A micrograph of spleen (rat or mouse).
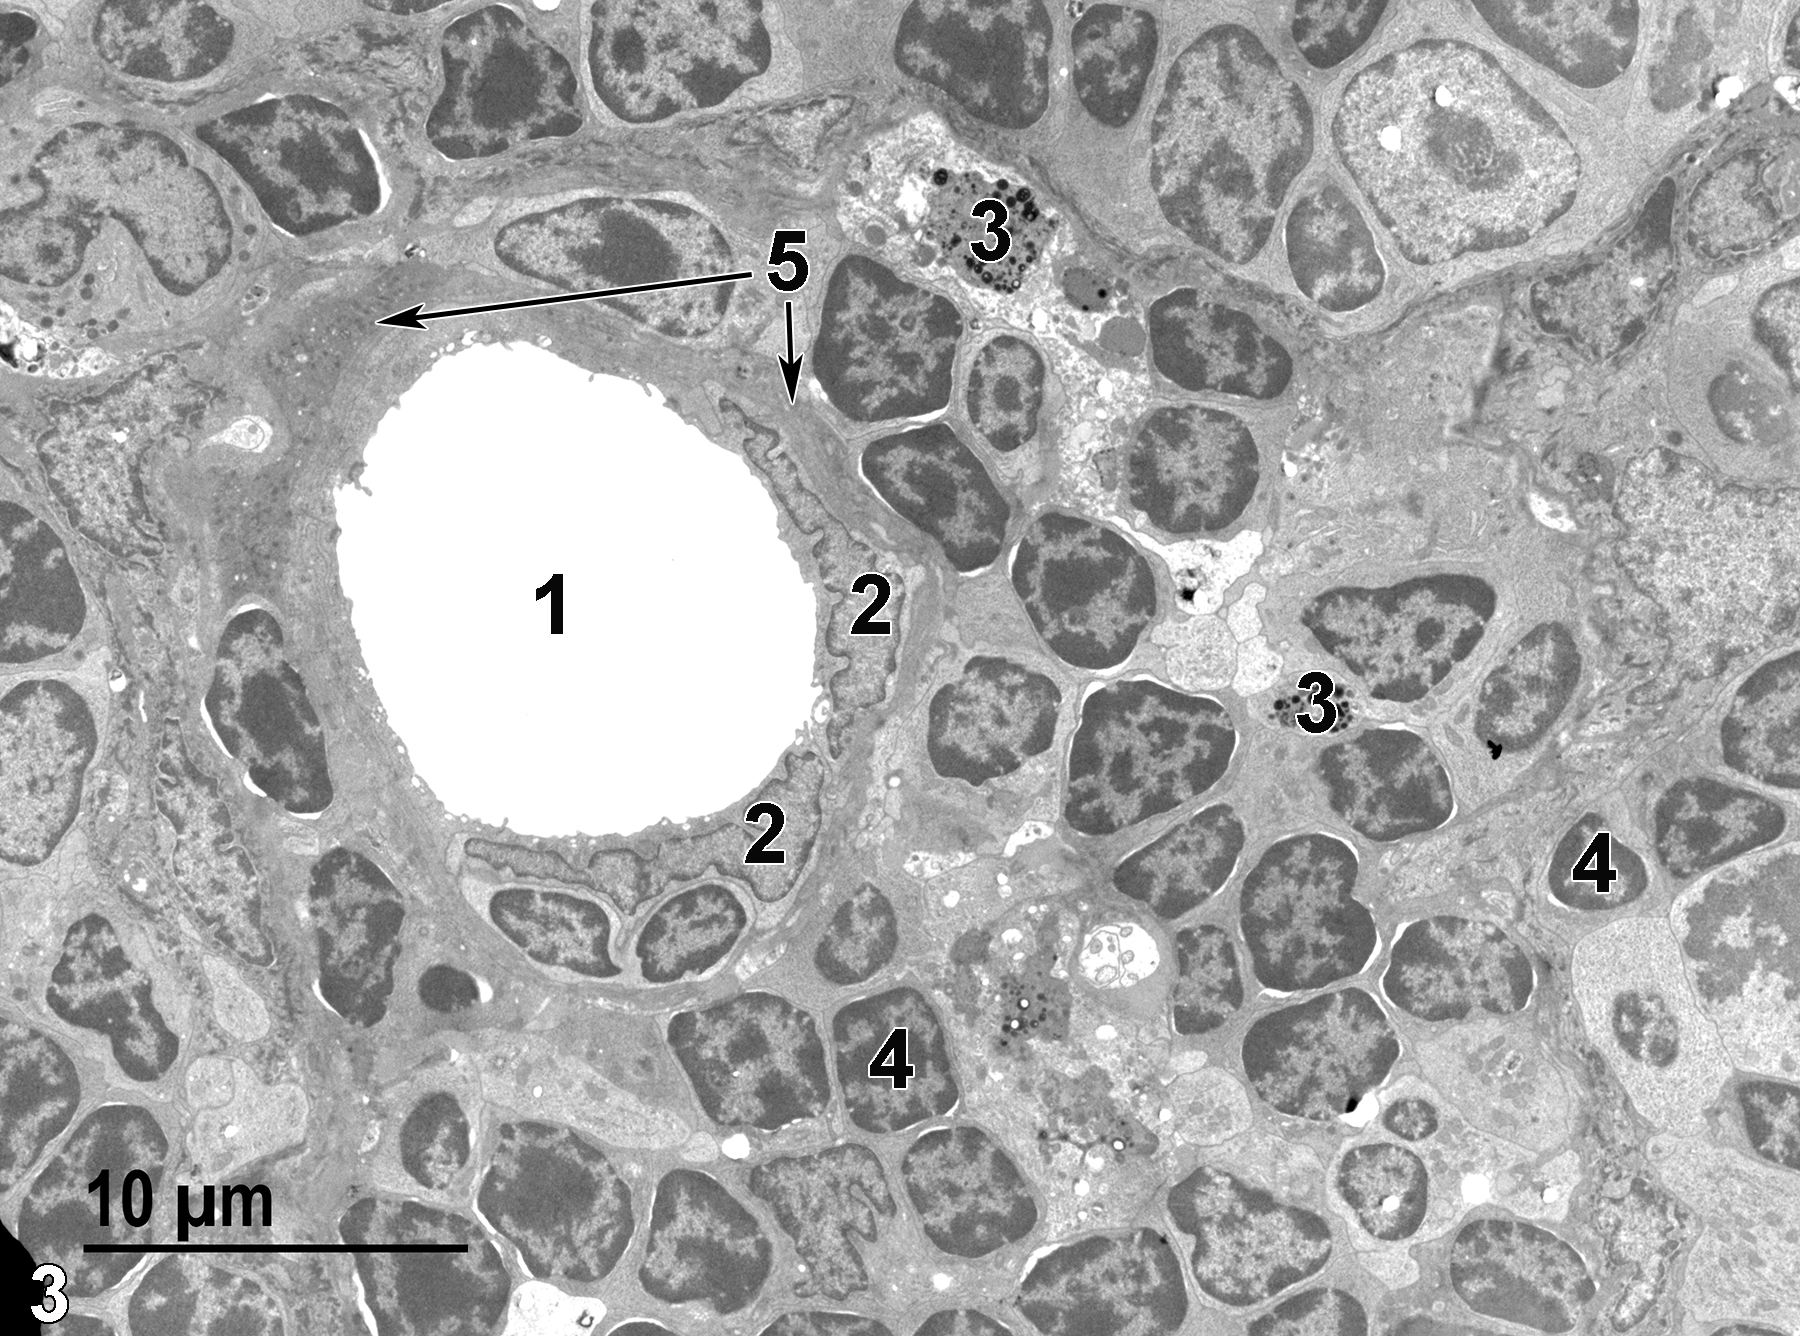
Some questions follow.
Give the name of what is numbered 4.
Lymphocytes.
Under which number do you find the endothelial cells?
The endothelial cells: 2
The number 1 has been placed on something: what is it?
Central arteriole lumen.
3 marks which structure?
Macrophages.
